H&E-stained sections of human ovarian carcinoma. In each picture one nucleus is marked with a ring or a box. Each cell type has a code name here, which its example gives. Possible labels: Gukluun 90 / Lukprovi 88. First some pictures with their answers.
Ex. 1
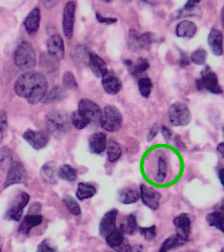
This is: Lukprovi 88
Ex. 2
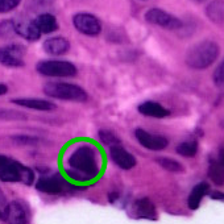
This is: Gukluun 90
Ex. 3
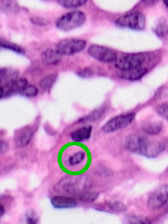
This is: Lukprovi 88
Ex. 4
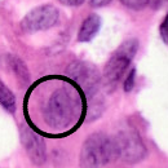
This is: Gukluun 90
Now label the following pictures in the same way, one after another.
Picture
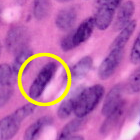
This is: Gukluun 90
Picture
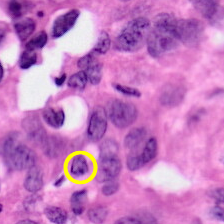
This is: Lukprovi 88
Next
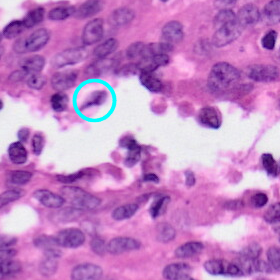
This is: Lukprovi 88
